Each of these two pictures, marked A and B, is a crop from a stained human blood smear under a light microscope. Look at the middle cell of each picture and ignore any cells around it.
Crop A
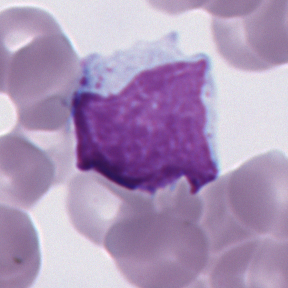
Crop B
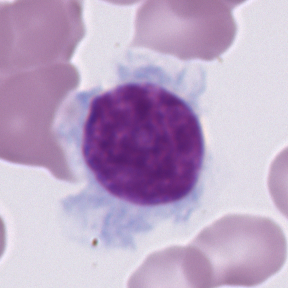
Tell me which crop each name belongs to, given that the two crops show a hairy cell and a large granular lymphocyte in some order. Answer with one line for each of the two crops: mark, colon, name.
A: large granular lymphocyte
B: hairy cell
